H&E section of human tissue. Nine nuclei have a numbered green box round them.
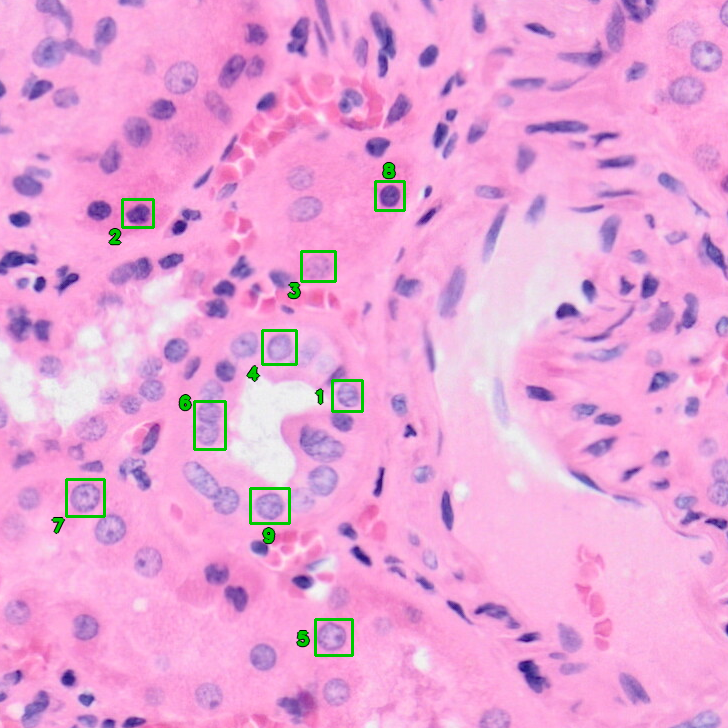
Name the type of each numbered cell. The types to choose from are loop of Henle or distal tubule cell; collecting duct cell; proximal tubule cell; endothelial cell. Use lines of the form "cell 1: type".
cell 1: collecting duct cell
cell 2: proximal tubule cell
cell 3: proximal tubule cell
cell 4: collecting duct cell
cell 5: proximal tubule cell
cell 6: collecting duct cell
cell 7: proximal tubule cell
cell 8: proximal tubule cell
cell 9: collecting duct cell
